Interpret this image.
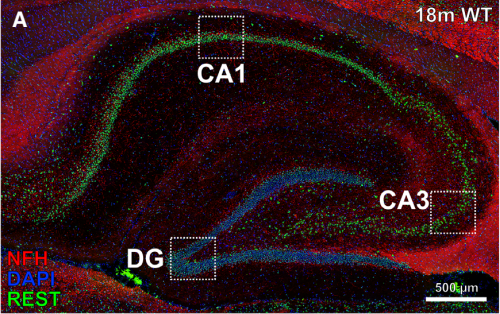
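Low-magnification view of the hippocampus with its curved principal cell layers. A thin arched band of green-speckled cells runs along the upper arc and continues down into the outer limb. A dense V-shaped blade of tightly packed blue nuclei lies nested inside the curve. The surrounding neuropil and overlying white matter are filled with red fibres. Scattered blue nuclei are spread through the layers between the cell bands.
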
